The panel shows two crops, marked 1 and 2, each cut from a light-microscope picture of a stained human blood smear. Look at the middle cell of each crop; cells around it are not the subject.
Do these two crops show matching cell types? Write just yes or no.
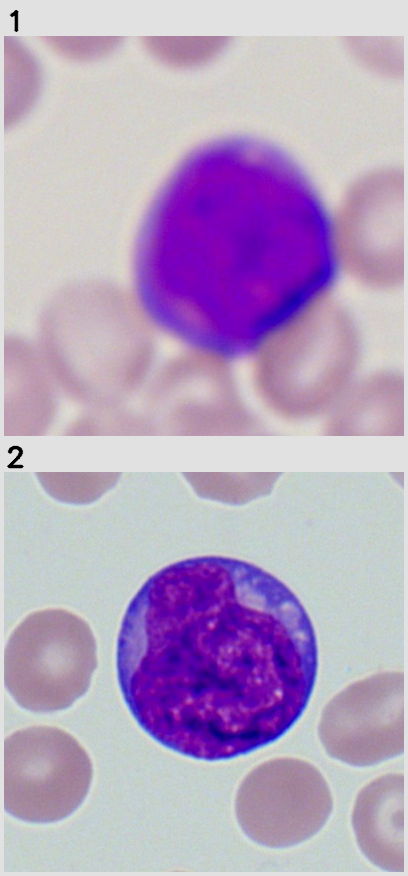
yes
